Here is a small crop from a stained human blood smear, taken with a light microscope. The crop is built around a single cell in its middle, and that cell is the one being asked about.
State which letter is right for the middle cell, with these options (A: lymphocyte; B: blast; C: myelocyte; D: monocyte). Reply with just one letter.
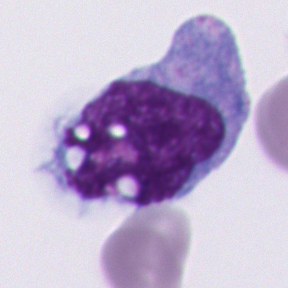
D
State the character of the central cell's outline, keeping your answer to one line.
Ragged or projecting, the border of this cell departs from a smooth contour.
